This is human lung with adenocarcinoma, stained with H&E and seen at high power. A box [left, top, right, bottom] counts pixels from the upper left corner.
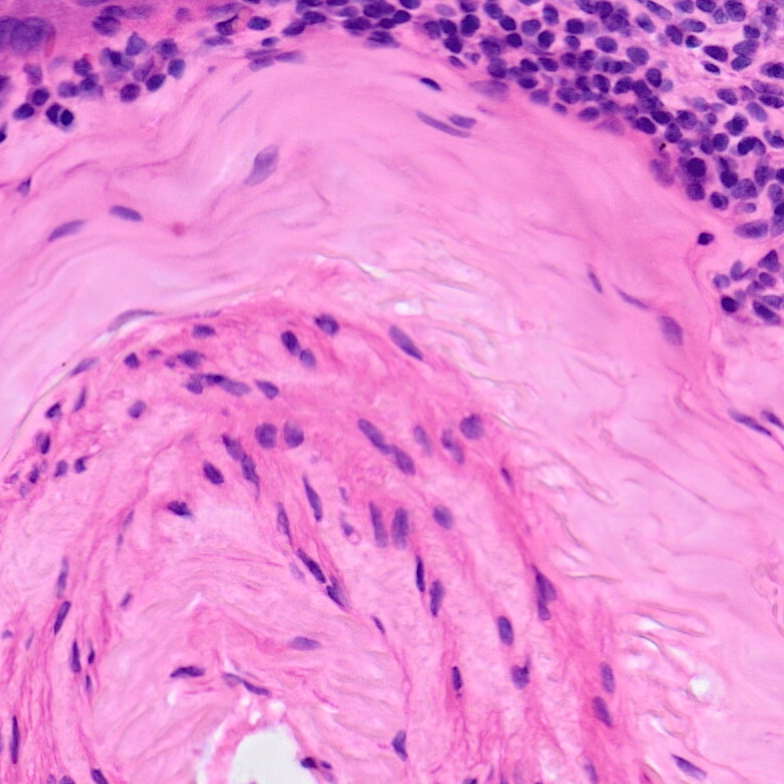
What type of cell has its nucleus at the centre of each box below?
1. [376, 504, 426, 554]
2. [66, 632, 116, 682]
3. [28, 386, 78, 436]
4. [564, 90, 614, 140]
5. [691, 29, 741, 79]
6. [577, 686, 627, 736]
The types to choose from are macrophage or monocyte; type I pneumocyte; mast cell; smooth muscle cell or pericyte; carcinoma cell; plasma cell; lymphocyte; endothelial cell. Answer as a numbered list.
1. smooth muscle cell or pericyte
2. smooth muscle cell or pericyte
3. smooth muscle cell or pericyte
4. lymphocyte
5. lymphocyte
6. smooth muscle cell or pericyte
